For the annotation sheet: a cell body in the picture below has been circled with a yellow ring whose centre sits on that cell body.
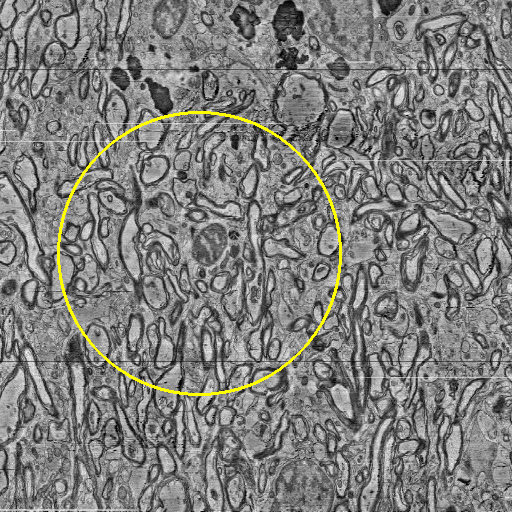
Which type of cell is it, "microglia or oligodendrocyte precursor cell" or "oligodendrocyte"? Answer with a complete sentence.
The circled cell is a microglial cell or oligodendrocyte precursor cell.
